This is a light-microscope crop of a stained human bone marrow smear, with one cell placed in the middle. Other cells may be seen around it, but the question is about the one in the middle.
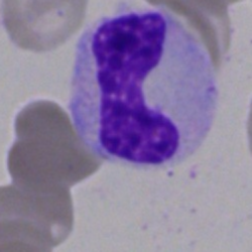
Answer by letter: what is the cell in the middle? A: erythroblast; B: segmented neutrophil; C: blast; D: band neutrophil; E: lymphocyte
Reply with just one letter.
D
